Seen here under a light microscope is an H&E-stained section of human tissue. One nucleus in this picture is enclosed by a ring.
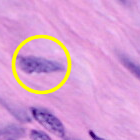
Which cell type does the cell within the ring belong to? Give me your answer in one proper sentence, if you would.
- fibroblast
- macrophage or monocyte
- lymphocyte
For cell typing purposes, the cell within the ring is a fibroblast.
